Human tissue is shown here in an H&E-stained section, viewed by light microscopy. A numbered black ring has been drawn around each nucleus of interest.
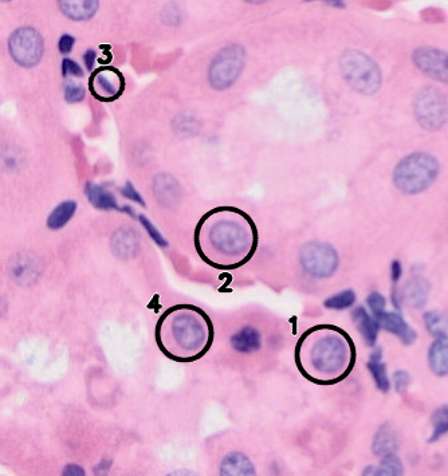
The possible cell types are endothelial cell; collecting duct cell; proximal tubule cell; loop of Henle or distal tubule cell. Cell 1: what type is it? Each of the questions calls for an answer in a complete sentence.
The cell that bears the number 1 is a proximal tubule cell.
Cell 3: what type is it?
Identified by the number 3, the cell is an endothelial cell.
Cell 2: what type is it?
The cell referred to as 2 is a proximal tubule cell.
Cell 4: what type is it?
In the marked set, the cell given number 4 is a proximal tubule cell.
